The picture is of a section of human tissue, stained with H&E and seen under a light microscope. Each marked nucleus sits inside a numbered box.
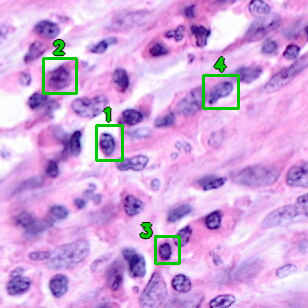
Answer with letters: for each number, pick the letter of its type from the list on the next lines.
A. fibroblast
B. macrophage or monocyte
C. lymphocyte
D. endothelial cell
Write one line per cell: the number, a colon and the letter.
1: C
2: B
3: C
4: C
